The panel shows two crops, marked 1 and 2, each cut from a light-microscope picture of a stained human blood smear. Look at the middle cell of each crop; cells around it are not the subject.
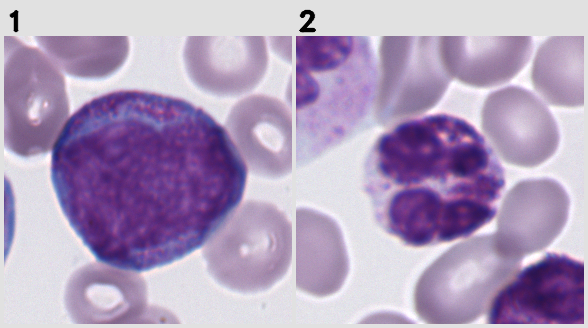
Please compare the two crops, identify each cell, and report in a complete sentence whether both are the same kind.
No, crop 2 shows a basophil, and crop 1 shows a promyelocyte.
